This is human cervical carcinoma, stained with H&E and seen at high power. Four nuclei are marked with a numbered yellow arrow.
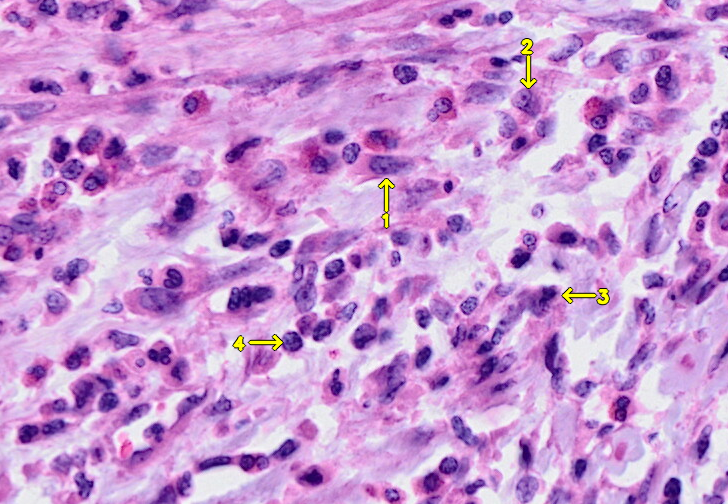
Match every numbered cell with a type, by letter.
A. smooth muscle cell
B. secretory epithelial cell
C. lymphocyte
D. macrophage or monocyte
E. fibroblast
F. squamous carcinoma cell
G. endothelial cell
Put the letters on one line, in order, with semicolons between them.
D; D; C; C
